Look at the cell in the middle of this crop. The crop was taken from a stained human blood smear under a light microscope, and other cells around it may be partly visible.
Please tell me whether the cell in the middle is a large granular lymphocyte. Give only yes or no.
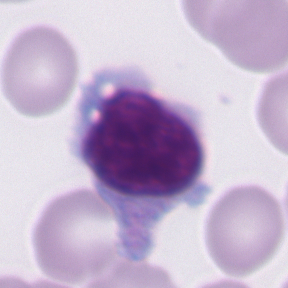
no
